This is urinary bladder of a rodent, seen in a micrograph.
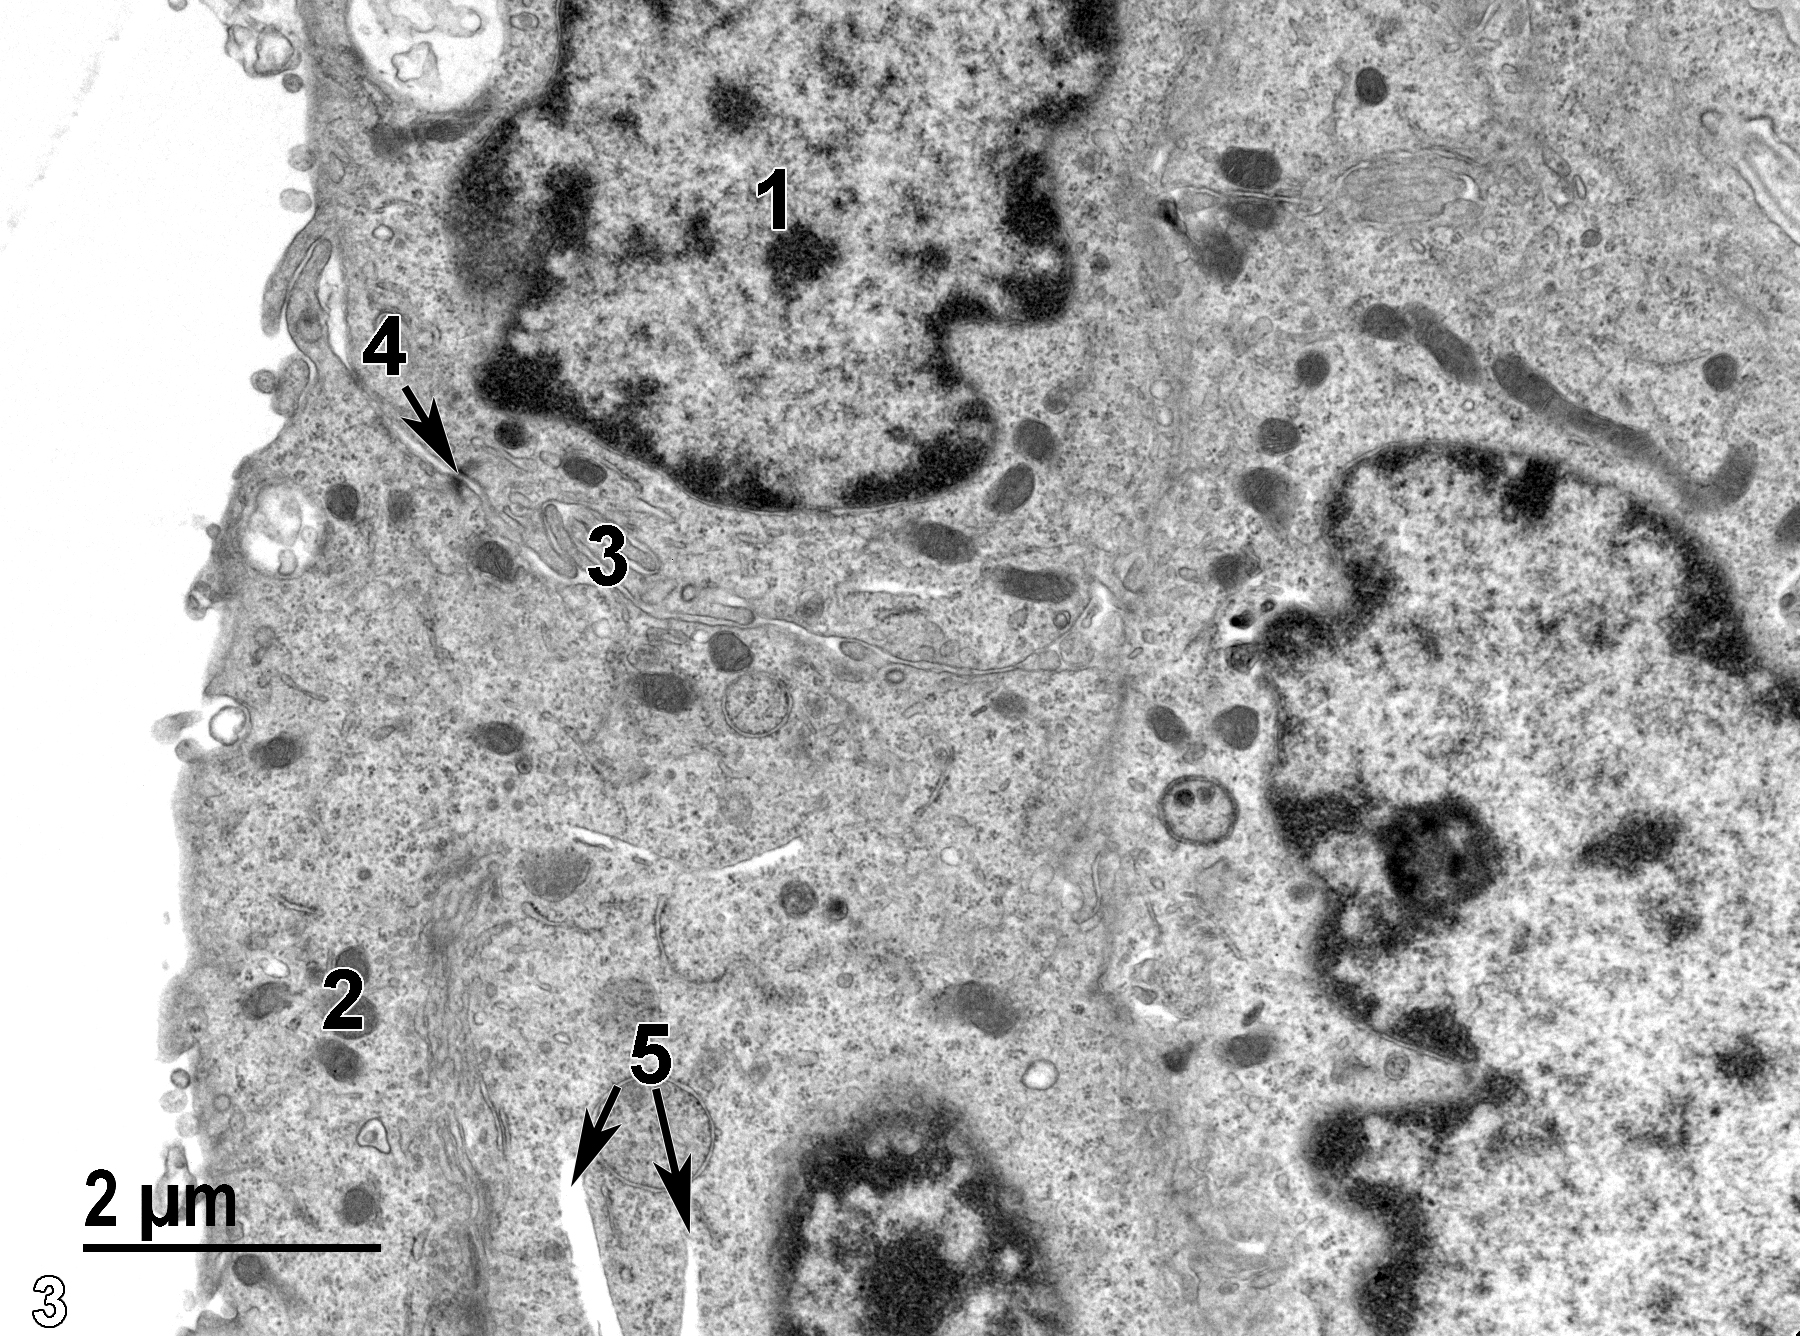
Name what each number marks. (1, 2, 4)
1 epithelial cell nucleus
2 mitochondria
4 desmosome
